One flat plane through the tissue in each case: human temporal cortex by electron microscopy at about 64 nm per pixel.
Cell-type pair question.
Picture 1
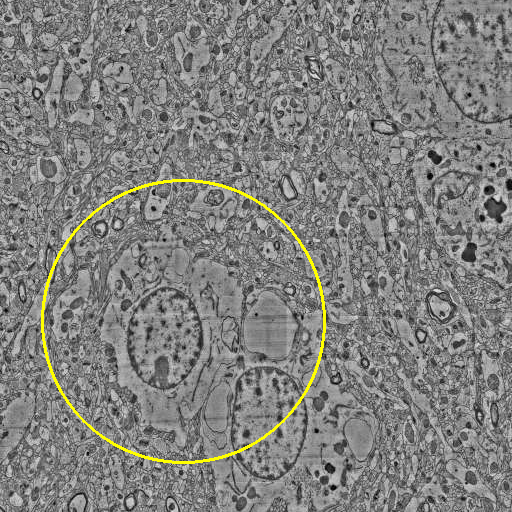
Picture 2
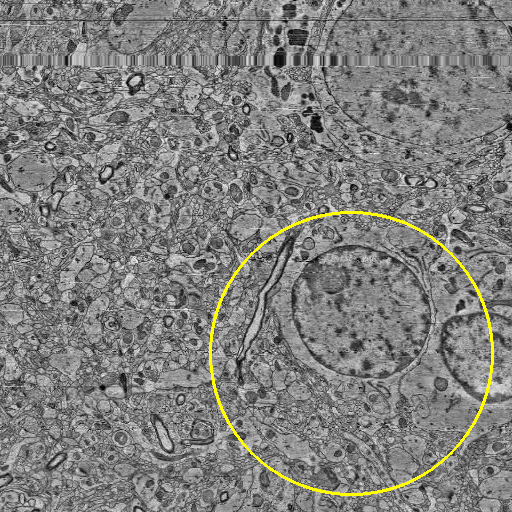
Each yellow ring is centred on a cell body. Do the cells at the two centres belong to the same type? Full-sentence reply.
Yes, the two cells belong to the same type.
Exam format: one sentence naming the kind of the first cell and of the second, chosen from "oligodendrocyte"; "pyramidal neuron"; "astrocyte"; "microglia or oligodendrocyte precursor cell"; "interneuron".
Each of the two rings is centred on an astrocyte.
